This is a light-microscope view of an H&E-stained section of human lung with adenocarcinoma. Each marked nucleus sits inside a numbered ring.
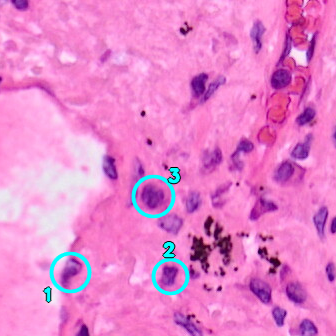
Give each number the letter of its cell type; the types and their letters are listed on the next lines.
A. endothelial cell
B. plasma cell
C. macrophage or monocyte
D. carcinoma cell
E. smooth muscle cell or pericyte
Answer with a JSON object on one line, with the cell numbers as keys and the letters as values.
{"1": "A", "2": "B", "3": "B"}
